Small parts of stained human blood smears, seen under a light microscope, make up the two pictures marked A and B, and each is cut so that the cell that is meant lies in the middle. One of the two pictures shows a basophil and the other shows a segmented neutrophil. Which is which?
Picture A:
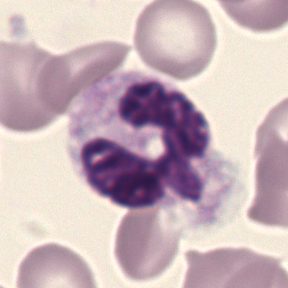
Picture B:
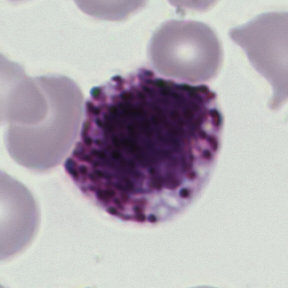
A: segmented neutrophil
B: basophil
